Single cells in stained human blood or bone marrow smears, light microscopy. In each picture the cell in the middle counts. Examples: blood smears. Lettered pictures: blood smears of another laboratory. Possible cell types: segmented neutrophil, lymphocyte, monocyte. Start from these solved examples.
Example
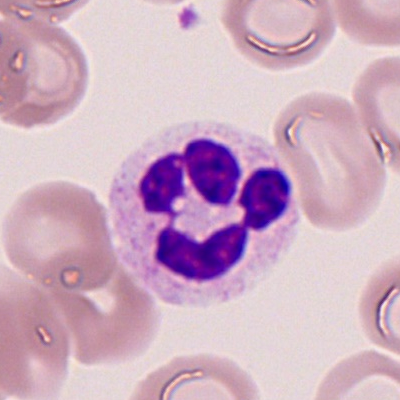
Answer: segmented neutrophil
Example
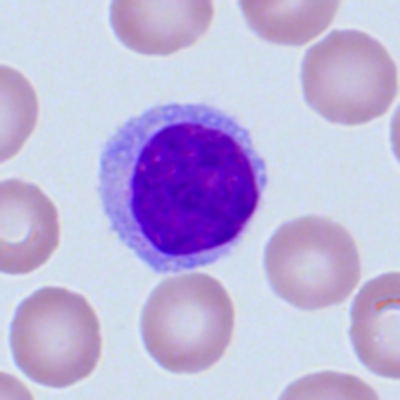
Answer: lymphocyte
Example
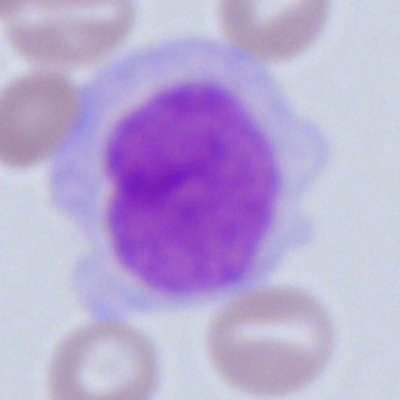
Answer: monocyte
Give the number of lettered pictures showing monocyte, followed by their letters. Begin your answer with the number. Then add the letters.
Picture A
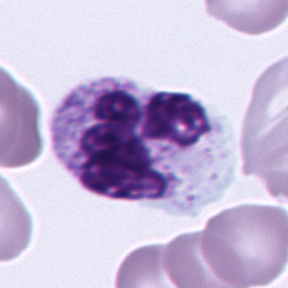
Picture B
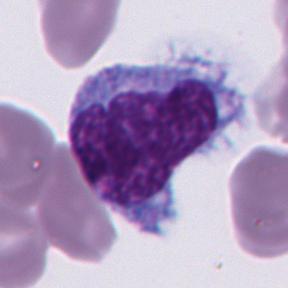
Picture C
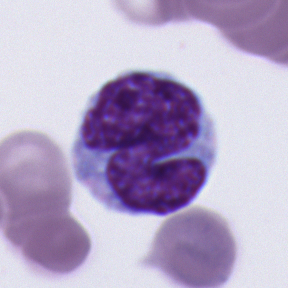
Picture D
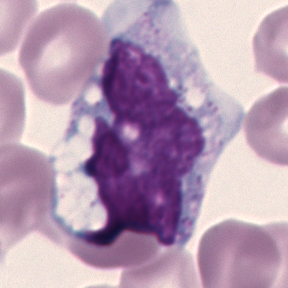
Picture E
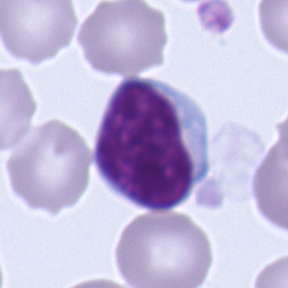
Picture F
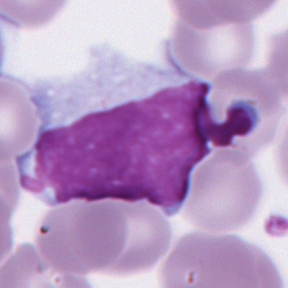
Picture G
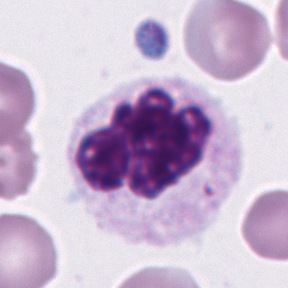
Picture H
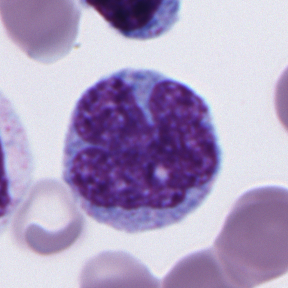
4: B, C, D, H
